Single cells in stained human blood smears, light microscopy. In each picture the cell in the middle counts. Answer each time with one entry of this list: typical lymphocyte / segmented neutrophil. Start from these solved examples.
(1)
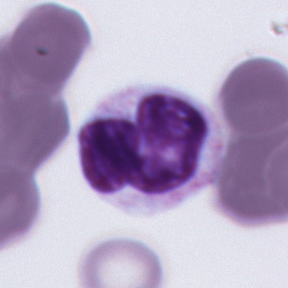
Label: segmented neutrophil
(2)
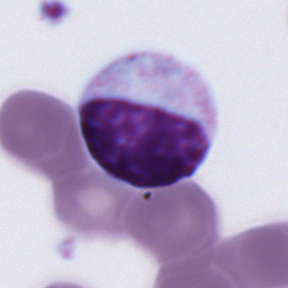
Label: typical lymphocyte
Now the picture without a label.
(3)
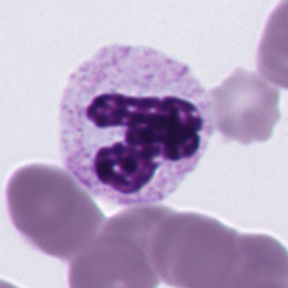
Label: segmented neutrophil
